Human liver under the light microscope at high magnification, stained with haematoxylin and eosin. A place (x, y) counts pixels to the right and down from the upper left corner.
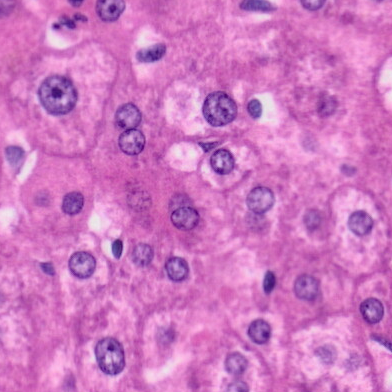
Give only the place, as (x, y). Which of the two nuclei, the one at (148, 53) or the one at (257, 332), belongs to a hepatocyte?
(257, 332)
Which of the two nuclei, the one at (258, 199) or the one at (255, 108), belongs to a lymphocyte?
(255, 108)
